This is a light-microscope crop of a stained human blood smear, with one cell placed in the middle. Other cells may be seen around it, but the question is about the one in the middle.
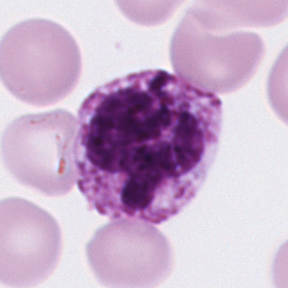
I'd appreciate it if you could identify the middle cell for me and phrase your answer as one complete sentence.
The centrally placed cell is classified as a basophil.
